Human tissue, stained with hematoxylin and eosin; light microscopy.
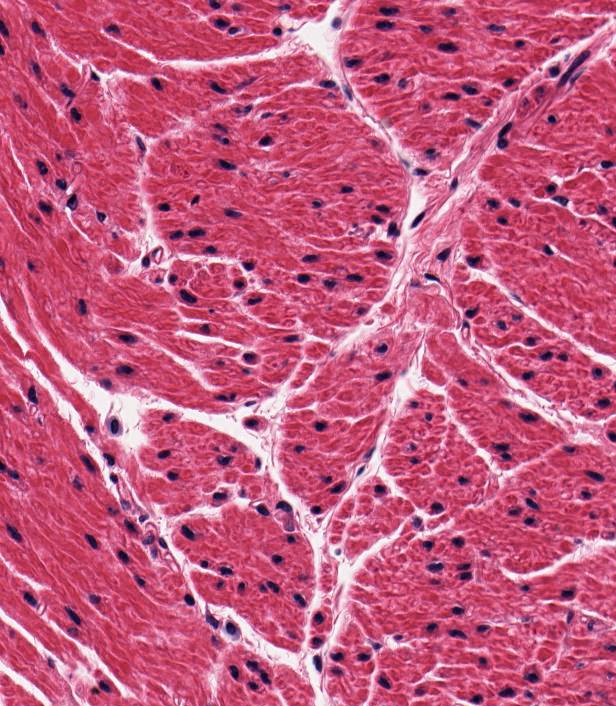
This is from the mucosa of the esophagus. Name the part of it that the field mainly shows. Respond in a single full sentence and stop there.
The tissue component on view in this section is named smooth muscle.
